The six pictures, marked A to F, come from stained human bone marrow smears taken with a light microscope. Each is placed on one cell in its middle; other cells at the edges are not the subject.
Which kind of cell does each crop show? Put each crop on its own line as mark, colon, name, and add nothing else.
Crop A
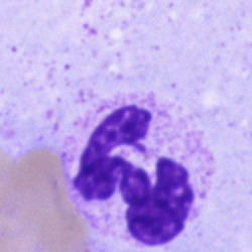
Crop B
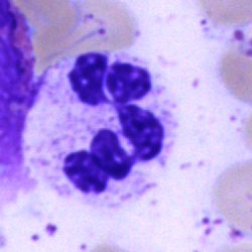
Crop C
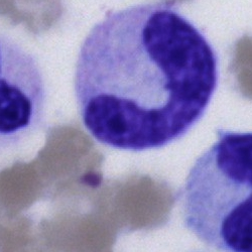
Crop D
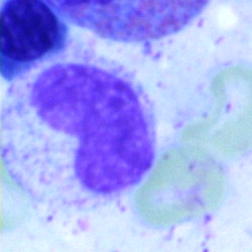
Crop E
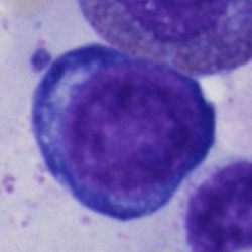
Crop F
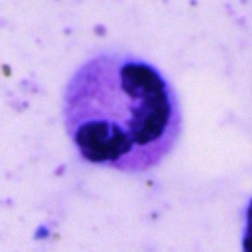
A: segmented neutrophil
B: segmented neutrophil
C: band neutrophil
D: band neutrophil
E: proerythroblast
F: segmented neutrophil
